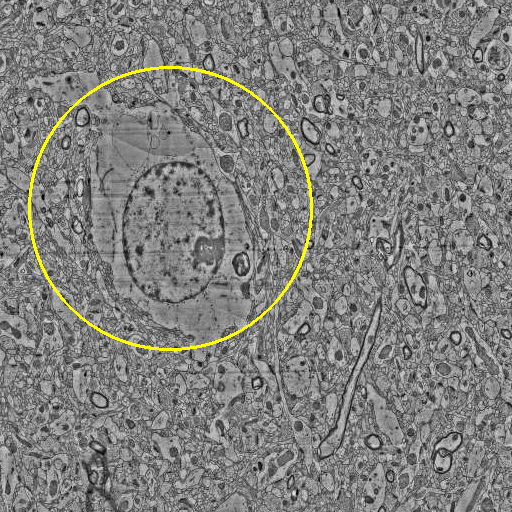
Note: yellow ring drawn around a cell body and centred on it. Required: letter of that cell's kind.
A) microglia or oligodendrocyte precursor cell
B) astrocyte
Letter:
B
